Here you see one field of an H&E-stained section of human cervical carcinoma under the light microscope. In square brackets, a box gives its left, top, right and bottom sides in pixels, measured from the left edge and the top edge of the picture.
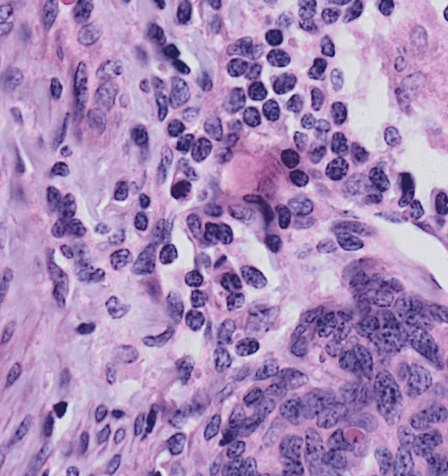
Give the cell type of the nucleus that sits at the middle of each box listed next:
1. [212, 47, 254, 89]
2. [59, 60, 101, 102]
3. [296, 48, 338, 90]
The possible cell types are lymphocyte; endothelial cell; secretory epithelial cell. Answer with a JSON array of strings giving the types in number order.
["lymphocyte", "endothelial cell", "lymphocyte"]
